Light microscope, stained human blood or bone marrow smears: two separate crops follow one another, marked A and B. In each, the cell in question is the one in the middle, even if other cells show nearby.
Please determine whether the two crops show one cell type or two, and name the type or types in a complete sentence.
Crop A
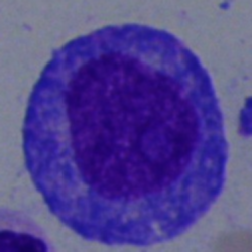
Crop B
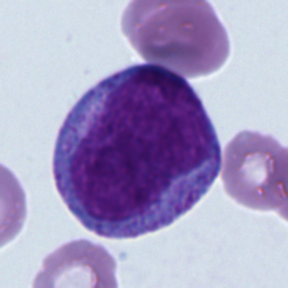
Yes, the crops both have promyelocytes in the middle.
